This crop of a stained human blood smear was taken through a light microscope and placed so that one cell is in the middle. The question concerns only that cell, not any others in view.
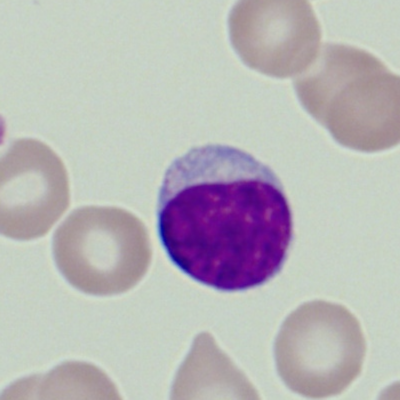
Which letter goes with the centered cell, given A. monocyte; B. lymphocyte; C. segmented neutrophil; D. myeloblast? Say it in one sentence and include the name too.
The centrally located cell is a lymphocyte, making option B the correct choice.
